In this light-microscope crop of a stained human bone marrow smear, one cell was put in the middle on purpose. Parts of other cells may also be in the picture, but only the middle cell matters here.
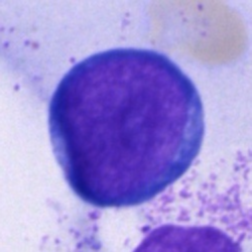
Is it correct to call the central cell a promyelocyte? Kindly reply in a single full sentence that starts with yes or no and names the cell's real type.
No, the cell in the middle of the field is a proerythroblast, not a promyelocyte as suggested.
